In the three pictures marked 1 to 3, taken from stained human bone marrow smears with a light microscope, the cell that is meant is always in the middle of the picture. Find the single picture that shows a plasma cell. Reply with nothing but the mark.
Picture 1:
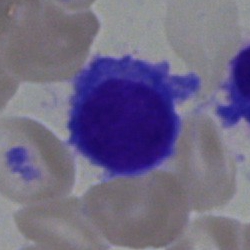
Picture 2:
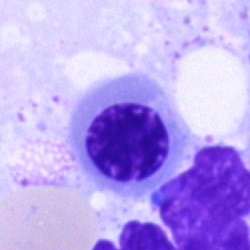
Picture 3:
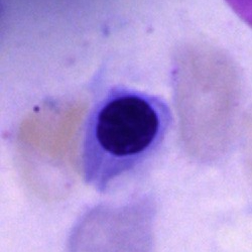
1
